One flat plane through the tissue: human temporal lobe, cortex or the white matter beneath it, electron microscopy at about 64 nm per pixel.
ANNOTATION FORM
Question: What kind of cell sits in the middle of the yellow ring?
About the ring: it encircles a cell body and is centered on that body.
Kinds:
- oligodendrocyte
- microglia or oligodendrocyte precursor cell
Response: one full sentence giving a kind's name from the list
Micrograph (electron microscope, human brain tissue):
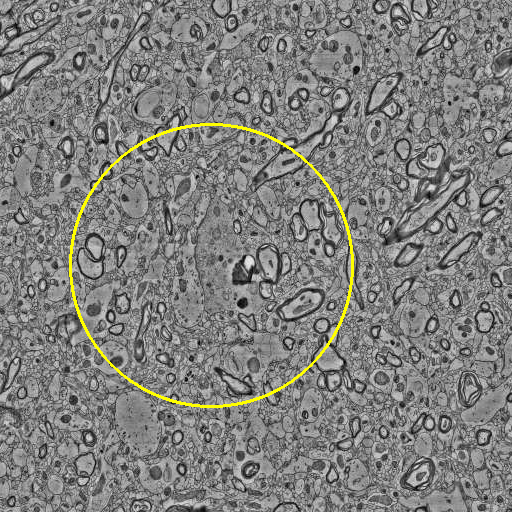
The kind of cell found at the center of the yellow ring in the micrograph is an oligodendrocyte.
